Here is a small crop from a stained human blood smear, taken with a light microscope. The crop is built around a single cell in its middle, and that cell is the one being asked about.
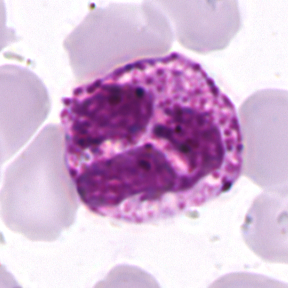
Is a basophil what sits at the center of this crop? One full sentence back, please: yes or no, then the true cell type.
Yes, this central cell is a basophil.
